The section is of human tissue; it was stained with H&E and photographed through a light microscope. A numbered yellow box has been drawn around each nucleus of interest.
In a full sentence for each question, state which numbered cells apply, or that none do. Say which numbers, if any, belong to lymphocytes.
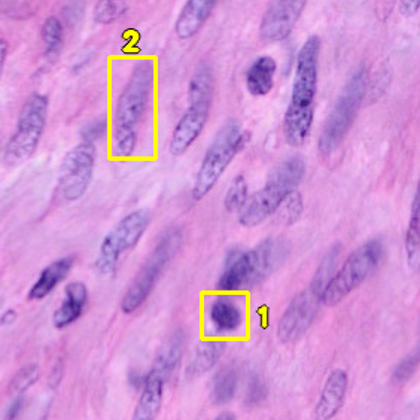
As for the numbered cells, only cell 1 is a lymphocyte.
